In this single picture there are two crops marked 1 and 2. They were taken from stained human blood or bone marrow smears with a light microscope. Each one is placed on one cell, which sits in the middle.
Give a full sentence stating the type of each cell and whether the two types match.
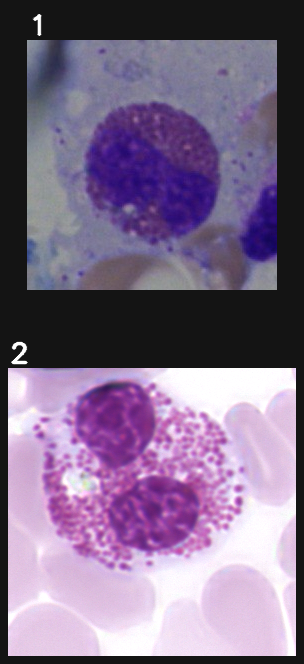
Yes, the two crops show eosinophils, both of them.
